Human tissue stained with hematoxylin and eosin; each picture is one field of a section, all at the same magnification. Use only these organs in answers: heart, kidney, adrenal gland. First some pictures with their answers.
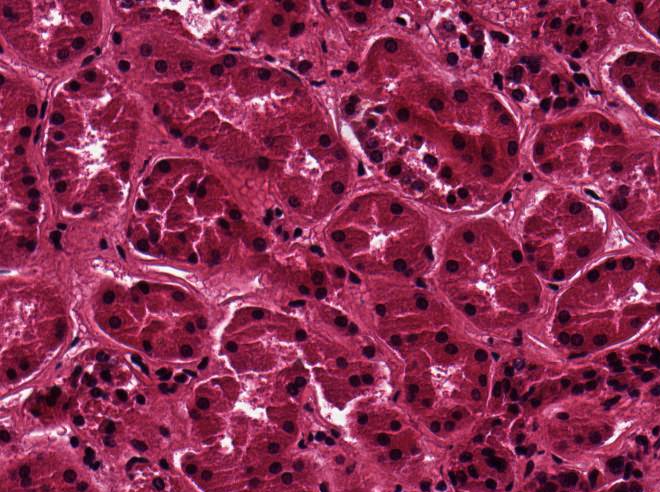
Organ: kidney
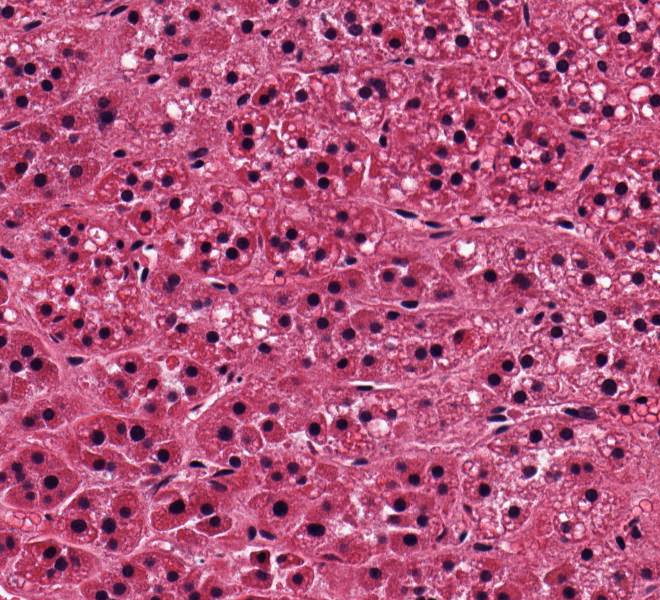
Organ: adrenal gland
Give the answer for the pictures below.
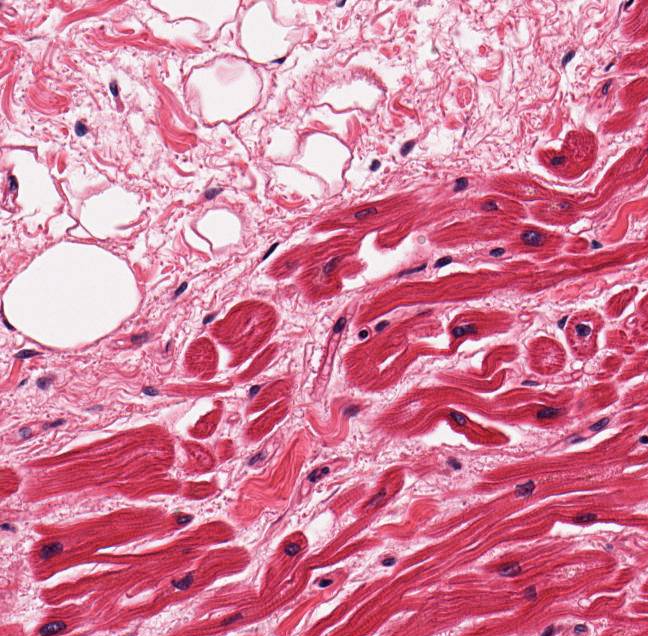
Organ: heart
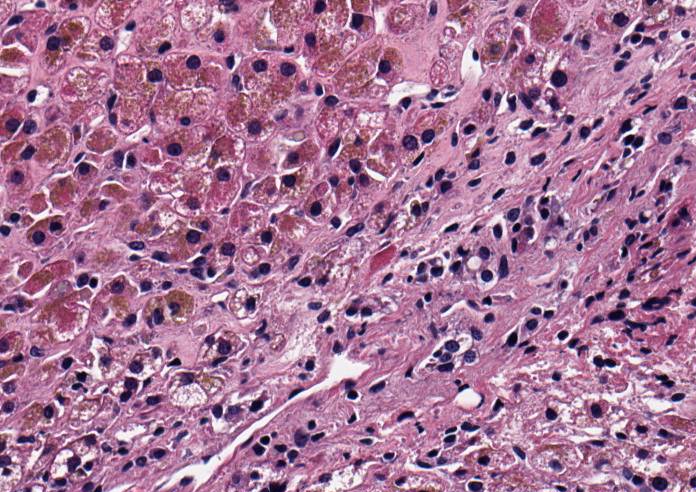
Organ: adrenal gland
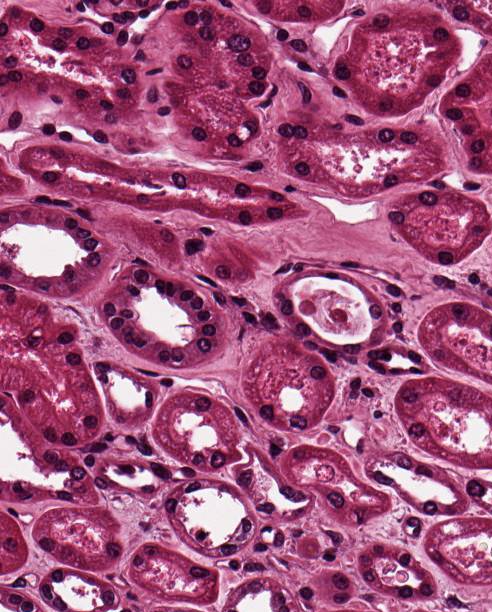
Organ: kidney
